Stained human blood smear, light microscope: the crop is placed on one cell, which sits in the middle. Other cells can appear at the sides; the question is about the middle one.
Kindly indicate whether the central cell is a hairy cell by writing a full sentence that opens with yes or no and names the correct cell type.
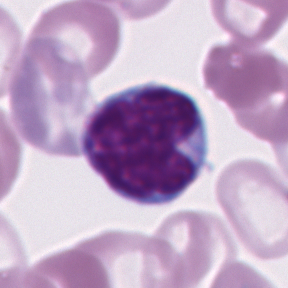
No, the central cell is not a hairy cell; it is a typical lymphocyte.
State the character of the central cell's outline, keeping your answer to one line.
The edge of the cell is unbroken and smooth, bearing no projections.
